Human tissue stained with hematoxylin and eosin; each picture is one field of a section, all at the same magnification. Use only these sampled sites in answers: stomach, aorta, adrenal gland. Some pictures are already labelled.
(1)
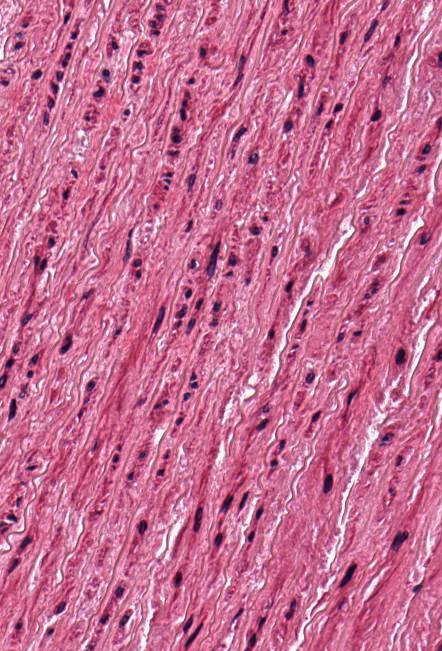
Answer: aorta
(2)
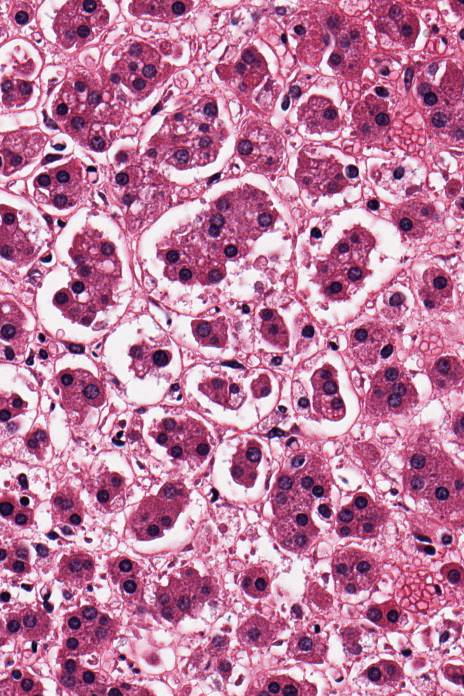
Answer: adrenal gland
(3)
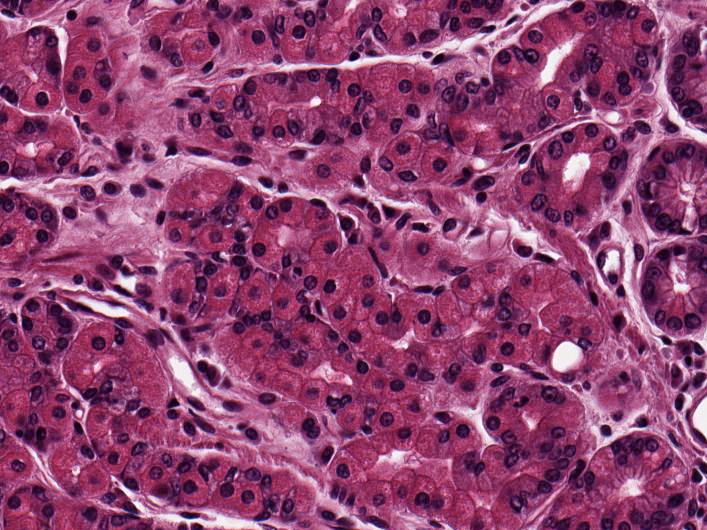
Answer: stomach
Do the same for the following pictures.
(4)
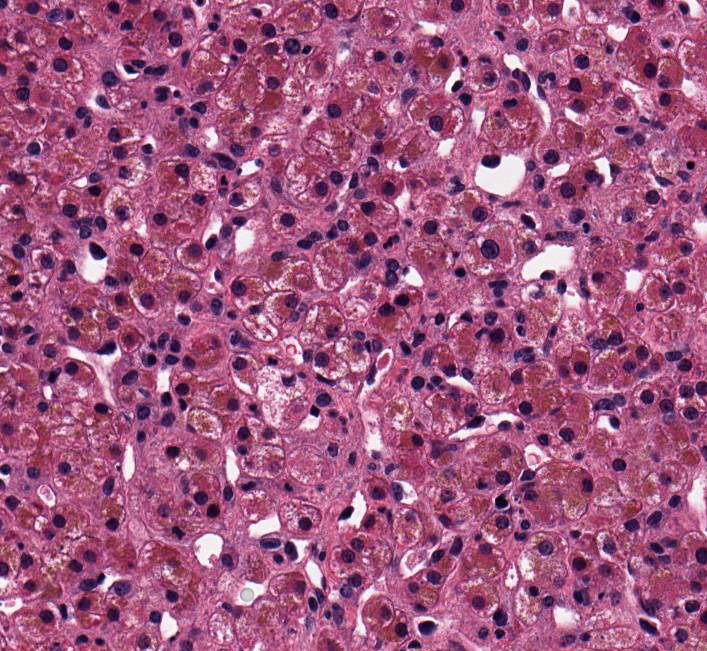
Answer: adrenal gland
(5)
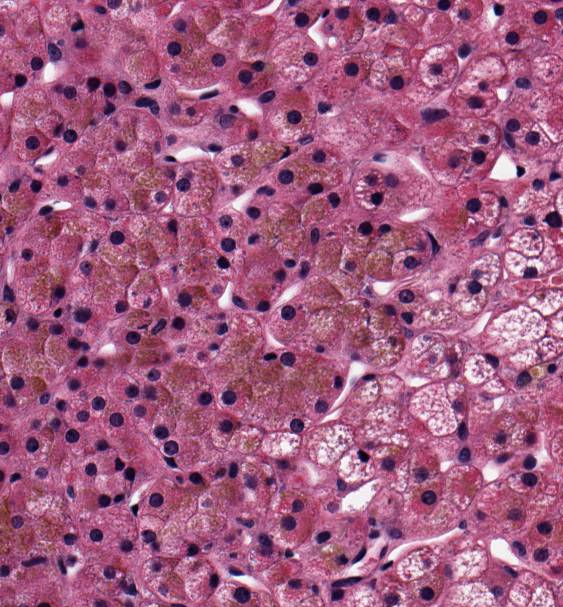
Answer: adrenal gland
